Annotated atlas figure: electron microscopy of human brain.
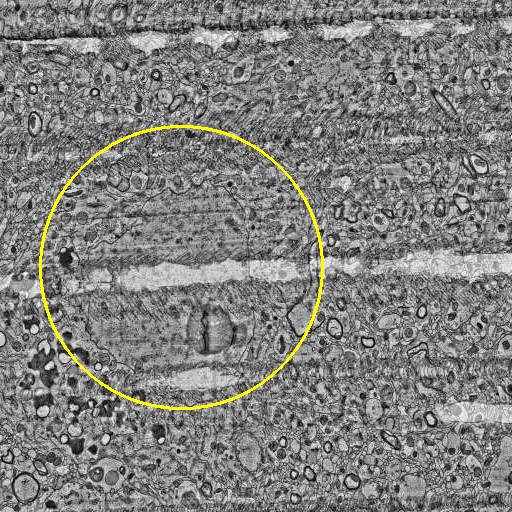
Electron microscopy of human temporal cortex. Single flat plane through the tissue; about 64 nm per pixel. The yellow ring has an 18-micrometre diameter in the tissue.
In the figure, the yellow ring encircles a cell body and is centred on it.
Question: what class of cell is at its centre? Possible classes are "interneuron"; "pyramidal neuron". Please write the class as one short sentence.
The yellow ring is drawn around a pyramidal neuron.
